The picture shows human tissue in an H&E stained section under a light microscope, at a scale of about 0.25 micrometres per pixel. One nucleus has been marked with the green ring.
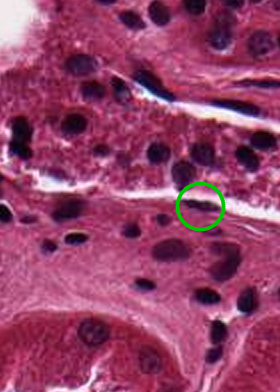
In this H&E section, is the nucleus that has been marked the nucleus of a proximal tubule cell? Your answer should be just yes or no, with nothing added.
no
